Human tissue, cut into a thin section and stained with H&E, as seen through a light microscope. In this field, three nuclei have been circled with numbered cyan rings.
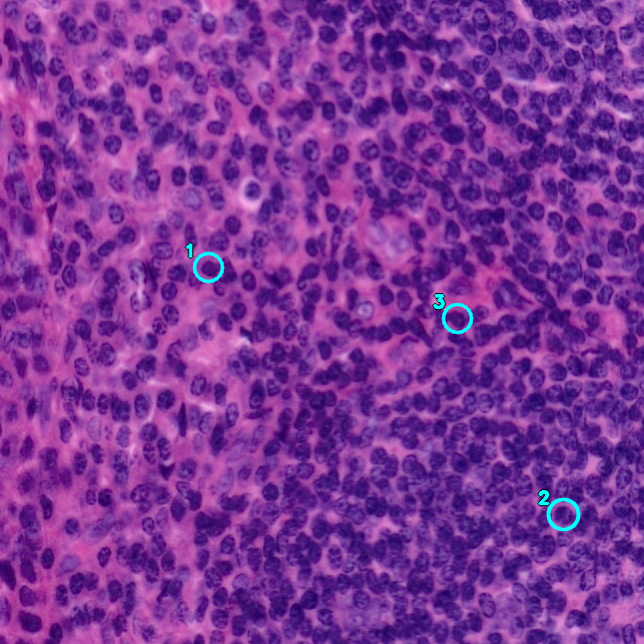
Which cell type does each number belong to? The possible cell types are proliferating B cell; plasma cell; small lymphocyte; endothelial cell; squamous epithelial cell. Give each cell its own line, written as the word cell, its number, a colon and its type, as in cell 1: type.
cell 1: plasma cell
cell 2: small lymphocyte
cell 3: small lymphocyte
